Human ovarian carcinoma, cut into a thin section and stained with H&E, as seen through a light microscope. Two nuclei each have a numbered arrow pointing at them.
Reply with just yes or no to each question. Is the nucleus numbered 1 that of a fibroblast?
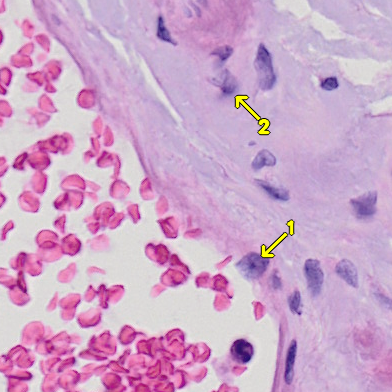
no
